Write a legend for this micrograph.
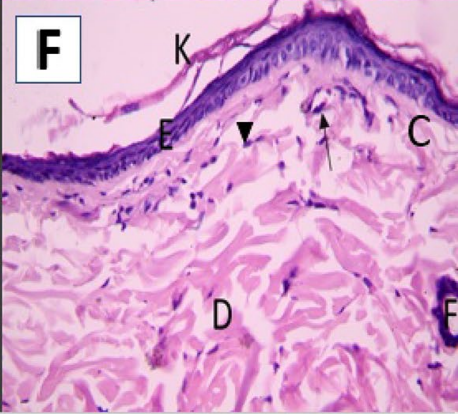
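This is skin whose epidermis forms a thick, deep purple band of tightly crowded cells, with short columnar basal cells packed along its lower edge and loose pink keratin flakes peeling off the surface. Deeper, the collagen fibres become thicker and wavy, and a hair follicle appears as a dark profile at the lower right edge. The crowding and darkness of the epithelium suggest an active, thickened covering.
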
